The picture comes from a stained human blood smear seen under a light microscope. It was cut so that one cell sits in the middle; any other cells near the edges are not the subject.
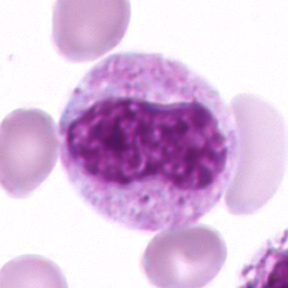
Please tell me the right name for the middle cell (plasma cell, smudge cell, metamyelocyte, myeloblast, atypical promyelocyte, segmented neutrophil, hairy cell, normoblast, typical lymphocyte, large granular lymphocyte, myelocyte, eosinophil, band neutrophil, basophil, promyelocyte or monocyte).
metamyelocyte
